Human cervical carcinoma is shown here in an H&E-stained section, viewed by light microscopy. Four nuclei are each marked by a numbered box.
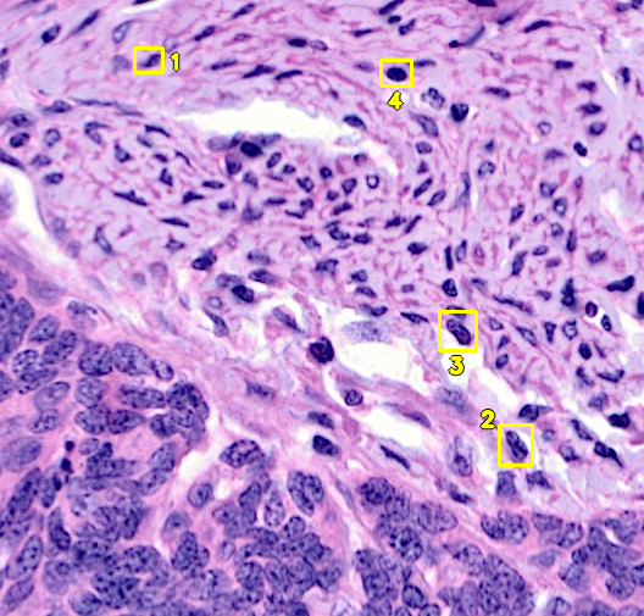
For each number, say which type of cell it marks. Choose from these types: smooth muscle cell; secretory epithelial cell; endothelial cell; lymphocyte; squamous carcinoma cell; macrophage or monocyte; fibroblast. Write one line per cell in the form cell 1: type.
cell 1: smooth muscle cell
cell 2: lymphocyte
cell 3: lymphocyte
cell 4: lymphocyte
